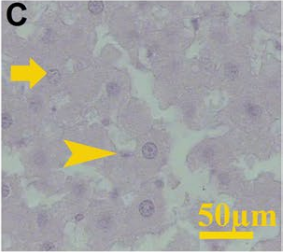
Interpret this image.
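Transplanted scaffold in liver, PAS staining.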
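Hepatocyte-like cells arranged in cords with sinusoids between them. The cells are large and polygonal with pale lilac cytoplasm and round, centrally placed nuclei with visible nucleoli. Along the edges of these spaces sit small, flattened, dark nuclei of lining endothelial cells, much smaller than the hepatocyte nuclei. Cytoplasmic staining is light and fairly even, without strong magenta granules.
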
